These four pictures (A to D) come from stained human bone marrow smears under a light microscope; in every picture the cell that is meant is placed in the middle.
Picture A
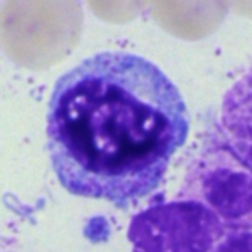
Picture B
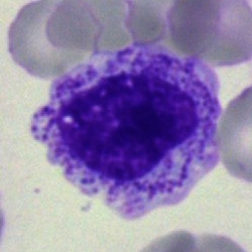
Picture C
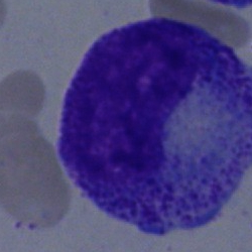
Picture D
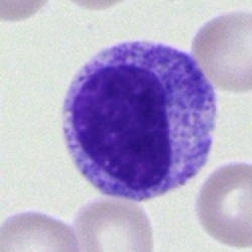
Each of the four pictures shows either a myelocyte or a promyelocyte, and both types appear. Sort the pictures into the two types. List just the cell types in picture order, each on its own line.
myelocyte
myelocyte
promyelocyte
myelocyte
